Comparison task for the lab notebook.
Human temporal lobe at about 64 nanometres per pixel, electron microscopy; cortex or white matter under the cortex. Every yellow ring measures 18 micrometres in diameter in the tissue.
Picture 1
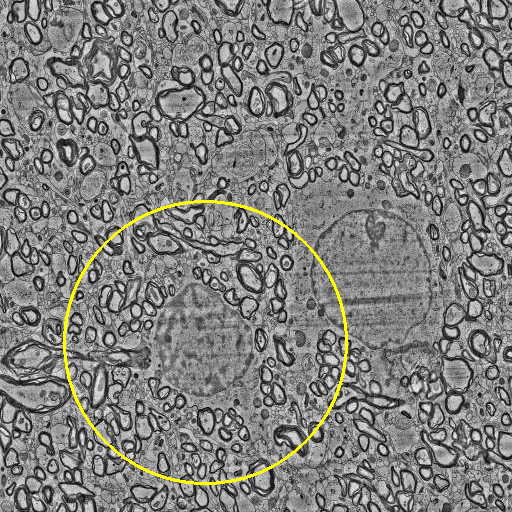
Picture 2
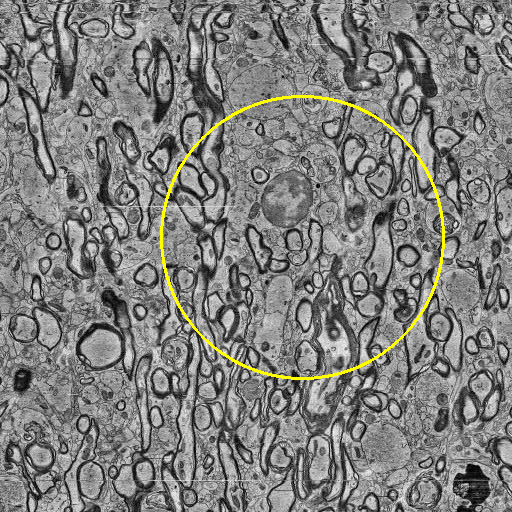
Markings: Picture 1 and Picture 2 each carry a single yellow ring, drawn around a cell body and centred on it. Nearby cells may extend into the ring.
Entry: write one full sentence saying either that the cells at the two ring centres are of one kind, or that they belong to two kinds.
The cells sitting at the ring centres in Picture 1 and Picture 2 belong to two kinds.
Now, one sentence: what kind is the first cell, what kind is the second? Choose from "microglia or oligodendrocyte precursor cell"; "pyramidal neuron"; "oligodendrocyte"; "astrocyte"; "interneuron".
The first picture has an oligodendrocyte at its ring centre, and the second has a microglial cell or oligodendrocyte precursor cell.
